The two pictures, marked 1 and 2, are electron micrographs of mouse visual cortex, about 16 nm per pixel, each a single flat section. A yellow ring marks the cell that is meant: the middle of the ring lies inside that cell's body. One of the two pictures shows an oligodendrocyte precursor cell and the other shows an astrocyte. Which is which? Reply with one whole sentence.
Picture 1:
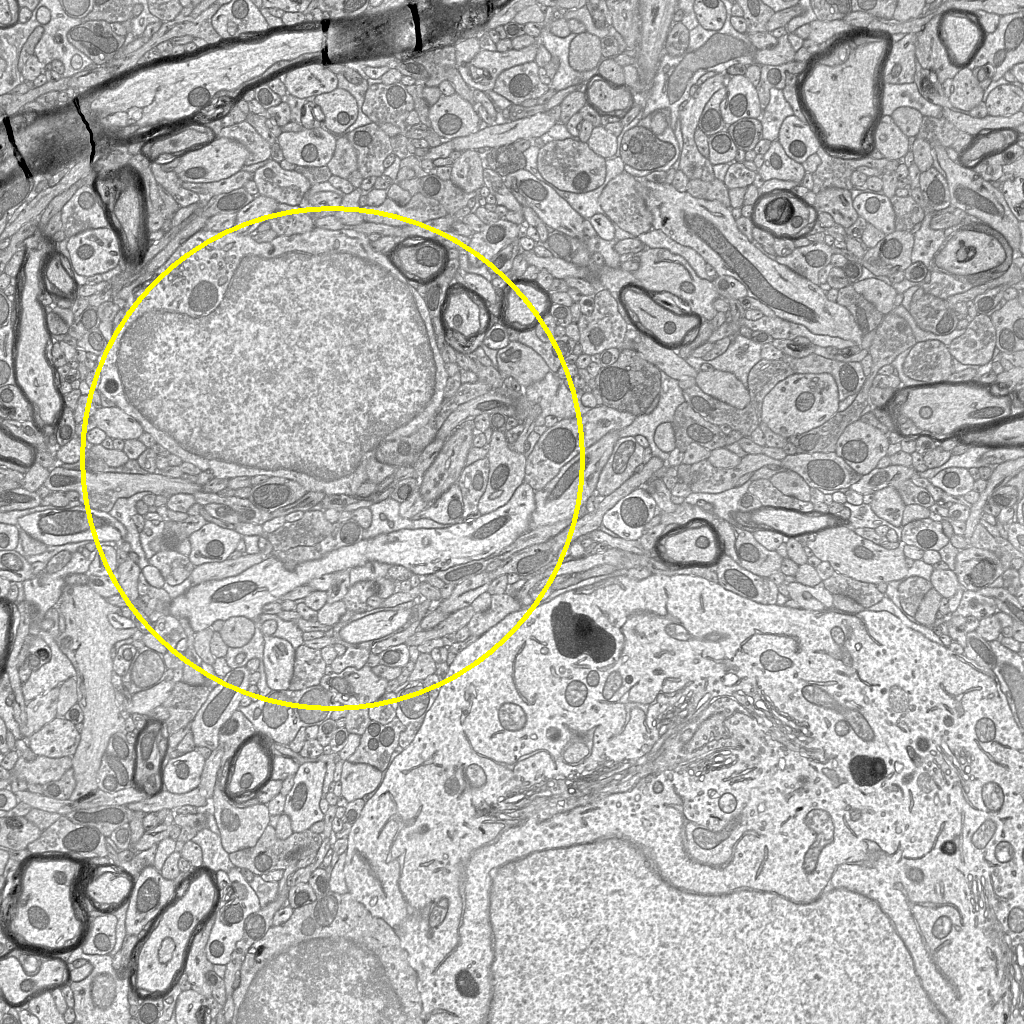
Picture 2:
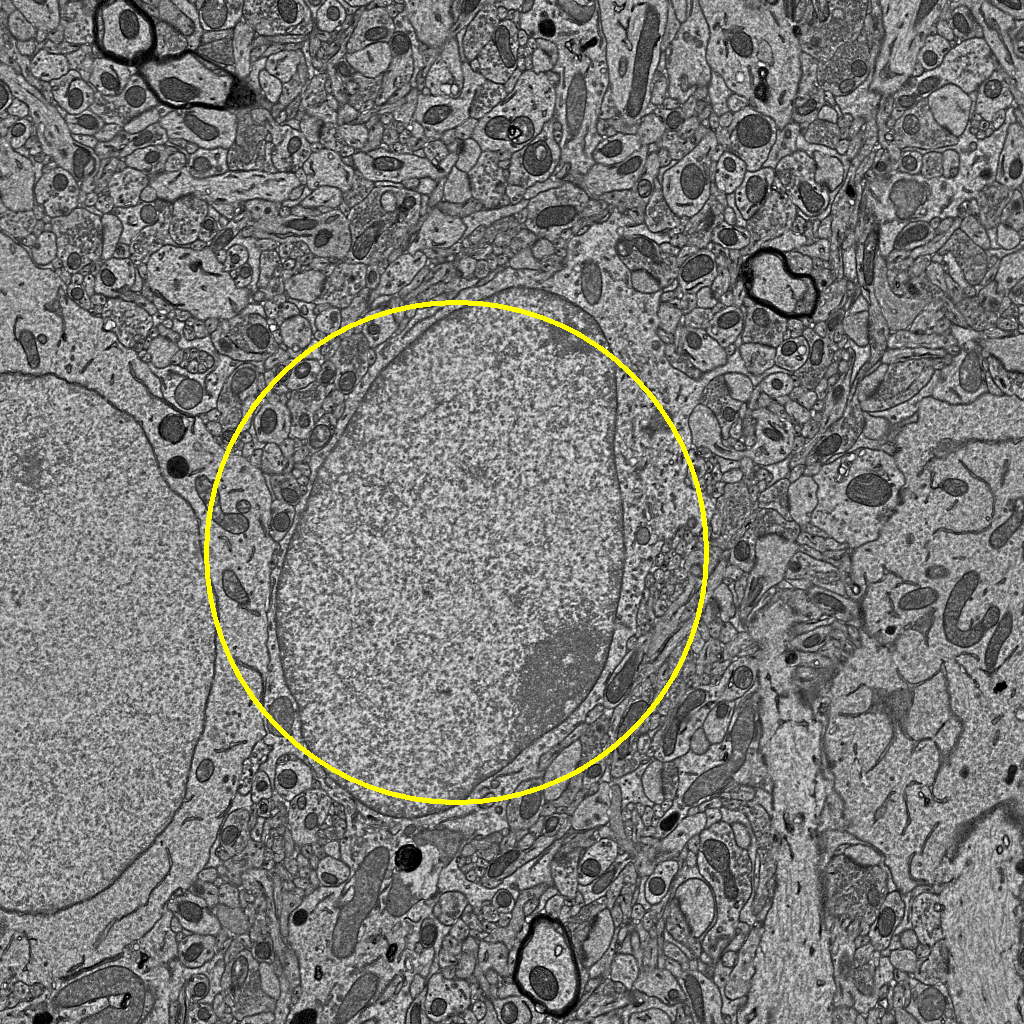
Picture 2 shows an astrocyte, while picture 1 shows an oligodendrocyte precursor cell.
